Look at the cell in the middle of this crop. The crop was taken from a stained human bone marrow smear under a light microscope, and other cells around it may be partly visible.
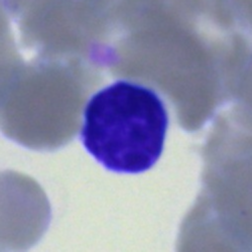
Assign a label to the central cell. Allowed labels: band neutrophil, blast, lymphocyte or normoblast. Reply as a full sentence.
The central cell, amid any neighbouring cells, is a lymphocyte.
